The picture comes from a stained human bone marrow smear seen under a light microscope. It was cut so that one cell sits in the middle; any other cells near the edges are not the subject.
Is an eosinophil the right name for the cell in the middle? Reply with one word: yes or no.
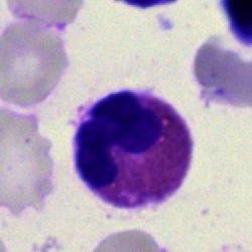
yes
